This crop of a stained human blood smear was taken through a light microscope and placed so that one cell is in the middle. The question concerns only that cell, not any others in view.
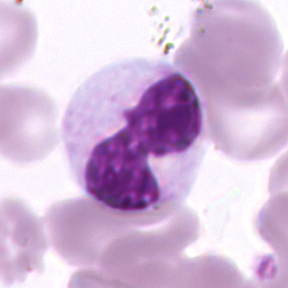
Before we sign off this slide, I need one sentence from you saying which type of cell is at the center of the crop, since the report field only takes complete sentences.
In this smear crop, the middle cell is a band neutrophil.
